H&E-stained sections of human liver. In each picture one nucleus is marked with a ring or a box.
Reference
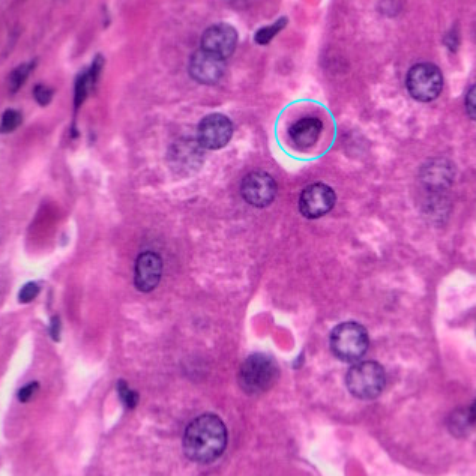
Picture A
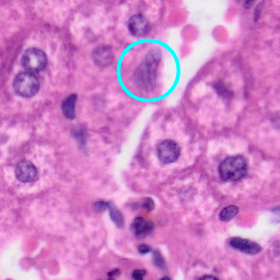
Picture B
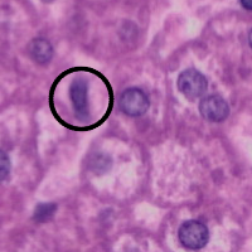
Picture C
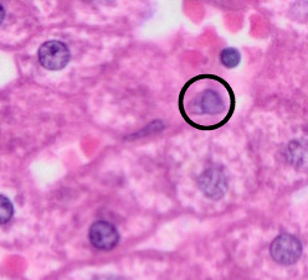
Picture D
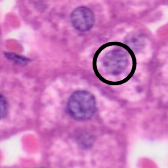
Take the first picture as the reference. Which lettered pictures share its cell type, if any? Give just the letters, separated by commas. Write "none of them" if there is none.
A, B, C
